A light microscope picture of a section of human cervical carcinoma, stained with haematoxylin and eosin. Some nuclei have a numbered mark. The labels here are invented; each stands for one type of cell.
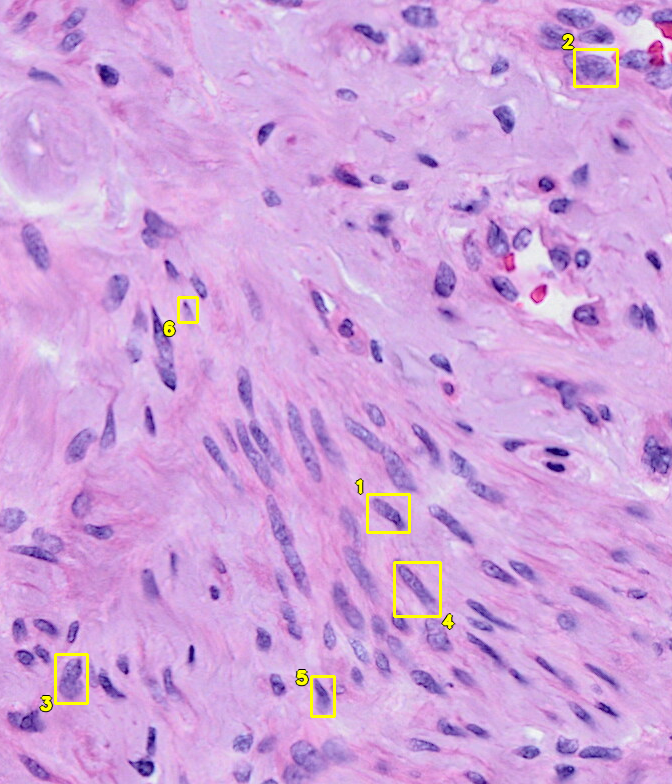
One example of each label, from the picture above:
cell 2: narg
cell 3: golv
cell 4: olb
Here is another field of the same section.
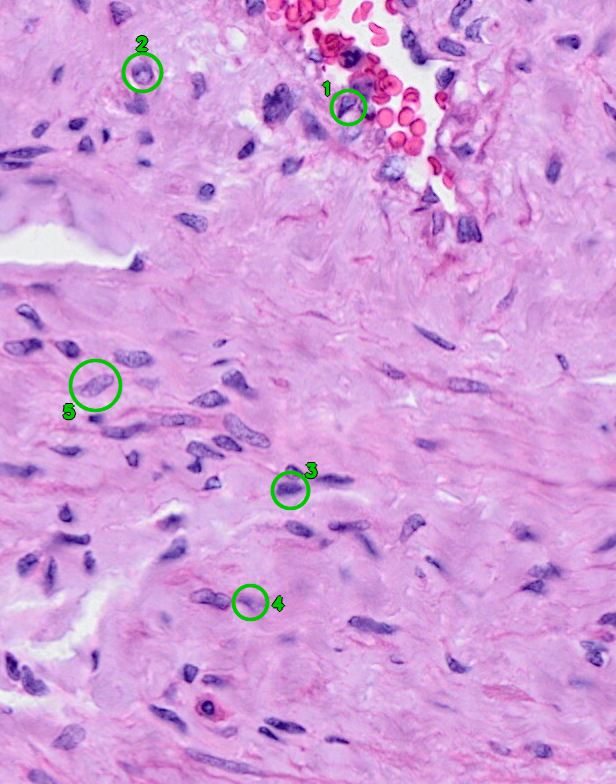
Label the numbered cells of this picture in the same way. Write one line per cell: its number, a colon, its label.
1: narg
2: narg
3: golv
4: olb
5: olb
